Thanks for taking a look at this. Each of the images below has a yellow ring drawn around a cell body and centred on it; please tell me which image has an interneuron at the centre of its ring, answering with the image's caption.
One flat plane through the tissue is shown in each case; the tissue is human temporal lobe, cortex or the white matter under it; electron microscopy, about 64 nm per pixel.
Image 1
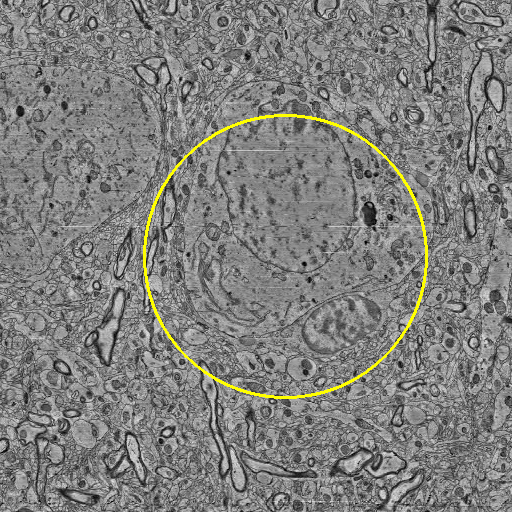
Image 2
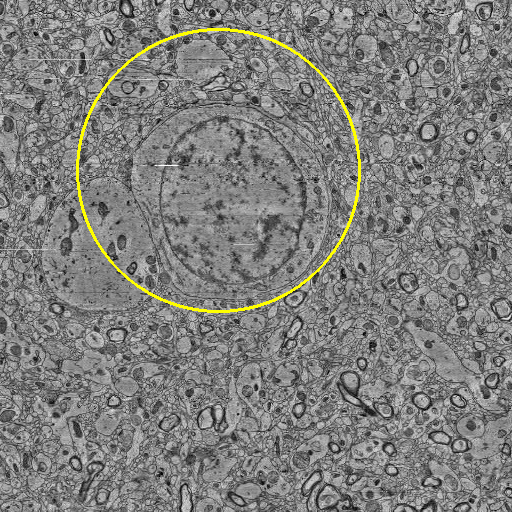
Image 2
